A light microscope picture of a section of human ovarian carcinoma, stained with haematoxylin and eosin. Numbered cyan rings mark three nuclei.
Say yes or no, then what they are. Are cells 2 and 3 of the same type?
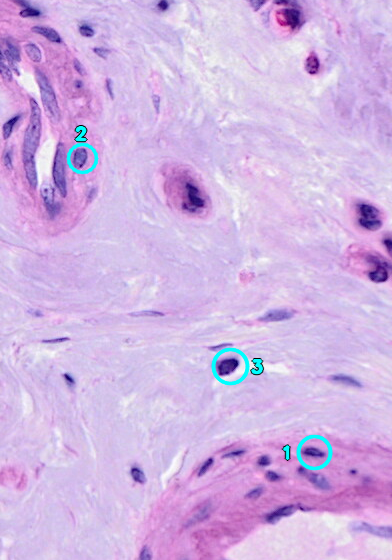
No, cell 3 is a lymphocyte, while cell 2 is a smooth muscle cell.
